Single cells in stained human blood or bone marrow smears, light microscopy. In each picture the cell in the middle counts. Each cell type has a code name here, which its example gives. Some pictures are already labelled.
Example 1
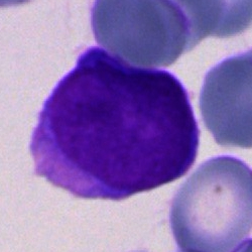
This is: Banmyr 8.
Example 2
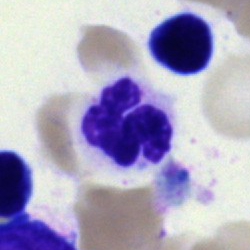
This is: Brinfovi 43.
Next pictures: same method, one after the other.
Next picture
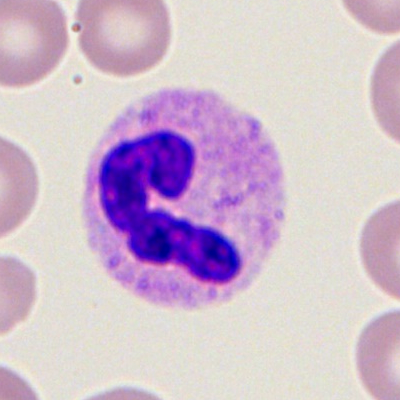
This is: Brinfovi 43.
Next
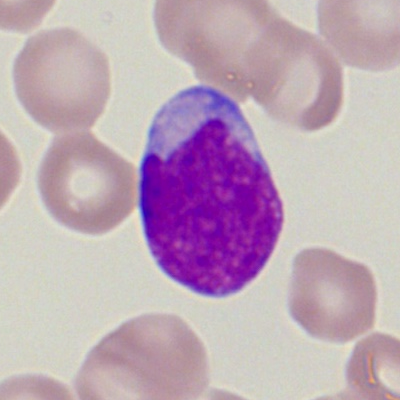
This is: Banmyr 8.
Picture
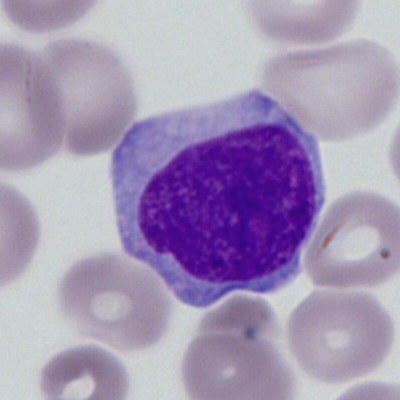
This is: Banmyr 8.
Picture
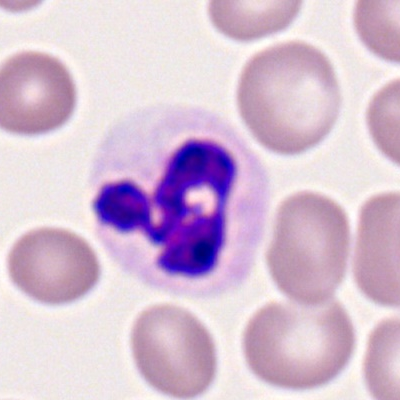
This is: Brinfovi 43.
